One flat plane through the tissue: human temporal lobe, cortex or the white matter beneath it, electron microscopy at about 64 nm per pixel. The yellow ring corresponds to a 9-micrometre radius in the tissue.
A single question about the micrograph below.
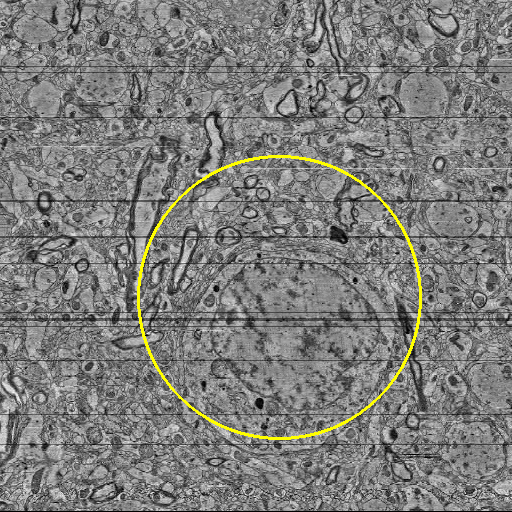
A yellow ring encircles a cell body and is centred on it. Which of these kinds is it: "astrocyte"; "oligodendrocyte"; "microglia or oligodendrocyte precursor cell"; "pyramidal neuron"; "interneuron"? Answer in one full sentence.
The cell body at the centre of the yellow ring belongs to a pyramidal neuron.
